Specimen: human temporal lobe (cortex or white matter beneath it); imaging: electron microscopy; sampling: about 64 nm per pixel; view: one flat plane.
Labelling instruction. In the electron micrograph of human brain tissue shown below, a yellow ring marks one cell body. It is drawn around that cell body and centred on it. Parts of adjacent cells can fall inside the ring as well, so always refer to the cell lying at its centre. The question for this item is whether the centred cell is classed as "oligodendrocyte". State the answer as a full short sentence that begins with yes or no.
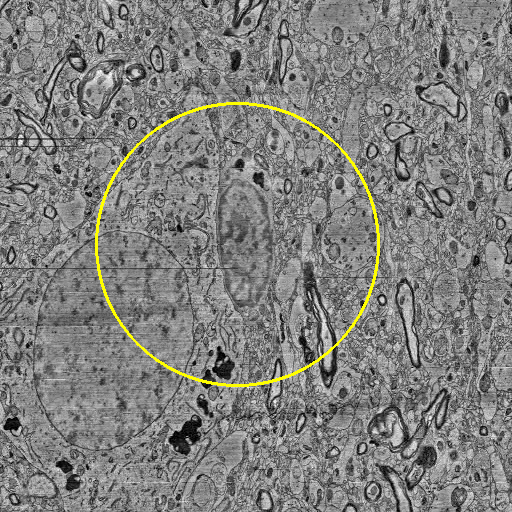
Yes, the centred cell is of that class.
